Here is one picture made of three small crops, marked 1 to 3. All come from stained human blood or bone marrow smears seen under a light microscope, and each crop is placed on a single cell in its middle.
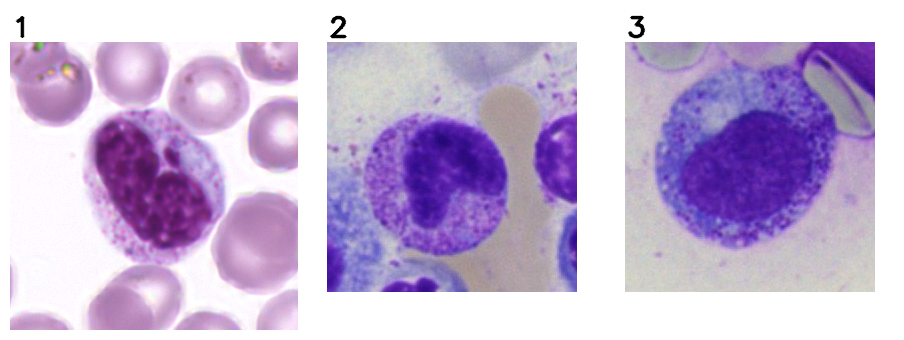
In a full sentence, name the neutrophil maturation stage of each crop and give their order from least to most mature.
Starting from the least mature, the sequence proceeds crop 3 (a myelocyte), crop 2 (a metamyelocyte) and crop 1 (a band neutrophil).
